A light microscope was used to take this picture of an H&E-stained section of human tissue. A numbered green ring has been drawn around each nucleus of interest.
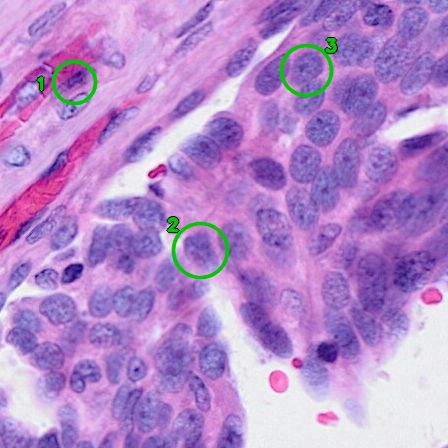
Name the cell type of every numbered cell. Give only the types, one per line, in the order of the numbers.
endothelial cell
carcinoma cell
carcinoma cell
